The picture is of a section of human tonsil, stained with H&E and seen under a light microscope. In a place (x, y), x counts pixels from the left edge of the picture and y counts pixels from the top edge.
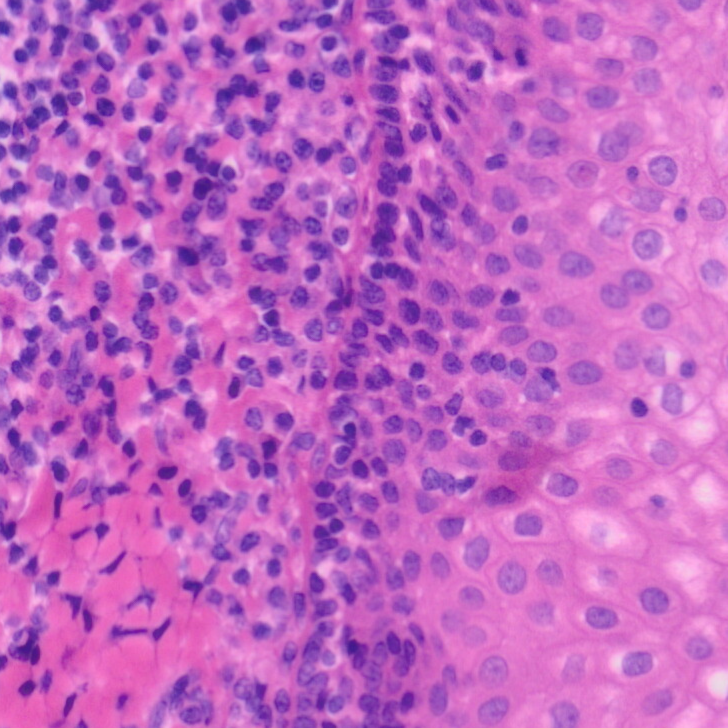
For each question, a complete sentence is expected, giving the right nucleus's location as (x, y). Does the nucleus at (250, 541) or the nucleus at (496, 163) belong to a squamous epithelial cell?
The nucleus at (496, 163) belongs to a squamous epithelial cell, which distinguishes it from the other nucleus.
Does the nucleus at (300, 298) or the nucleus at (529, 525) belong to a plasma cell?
The nucleus at (300, 298) is part of a plasma cell, while the other is not.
